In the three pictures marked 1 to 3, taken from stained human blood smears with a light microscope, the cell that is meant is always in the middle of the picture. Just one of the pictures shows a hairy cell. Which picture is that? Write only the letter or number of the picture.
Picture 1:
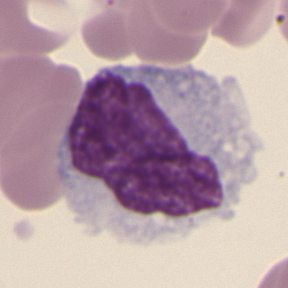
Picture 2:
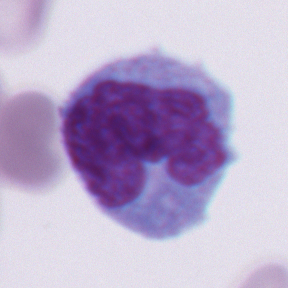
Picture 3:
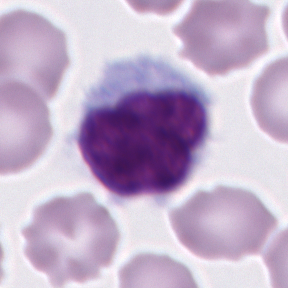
3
